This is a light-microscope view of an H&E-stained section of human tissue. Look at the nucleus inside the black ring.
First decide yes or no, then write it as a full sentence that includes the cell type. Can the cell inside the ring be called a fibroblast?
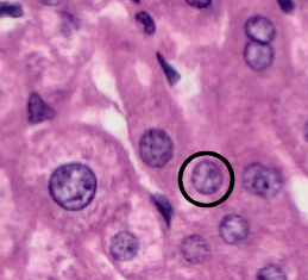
No, a fibroblast is not what the cell inside the ring is; it is a hepatocyte.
